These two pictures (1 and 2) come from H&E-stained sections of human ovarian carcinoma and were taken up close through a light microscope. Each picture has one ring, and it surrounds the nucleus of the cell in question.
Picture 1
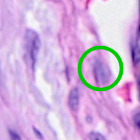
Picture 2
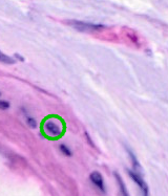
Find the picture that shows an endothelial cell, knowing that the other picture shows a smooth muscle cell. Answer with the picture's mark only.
1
